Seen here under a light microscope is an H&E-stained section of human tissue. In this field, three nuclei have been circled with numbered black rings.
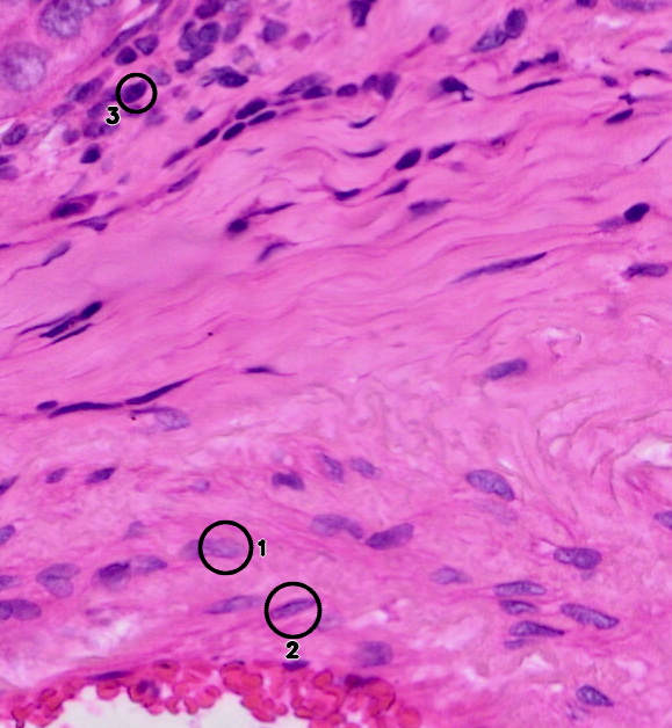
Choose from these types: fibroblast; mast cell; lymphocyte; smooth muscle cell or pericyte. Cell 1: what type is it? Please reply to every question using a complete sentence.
The cell carrying label 1 is identified as a smooth muscle cell or pericyte.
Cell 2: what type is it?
The cell that carries the label 2 is a smooth muscle cell or pericyte.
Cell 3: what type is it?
The numbered cell 3 in this field is a lymphocyte.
